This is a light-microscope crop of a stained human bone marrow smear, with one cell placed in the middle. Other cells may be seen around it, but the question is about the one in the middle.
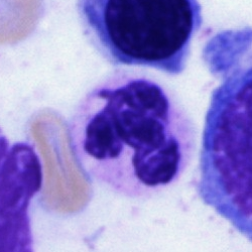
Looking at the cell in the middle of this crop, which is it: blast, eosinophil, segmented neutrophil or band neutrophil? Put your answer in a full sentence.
To answer, the cell in the center of the crop is a segmented neutrophil.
